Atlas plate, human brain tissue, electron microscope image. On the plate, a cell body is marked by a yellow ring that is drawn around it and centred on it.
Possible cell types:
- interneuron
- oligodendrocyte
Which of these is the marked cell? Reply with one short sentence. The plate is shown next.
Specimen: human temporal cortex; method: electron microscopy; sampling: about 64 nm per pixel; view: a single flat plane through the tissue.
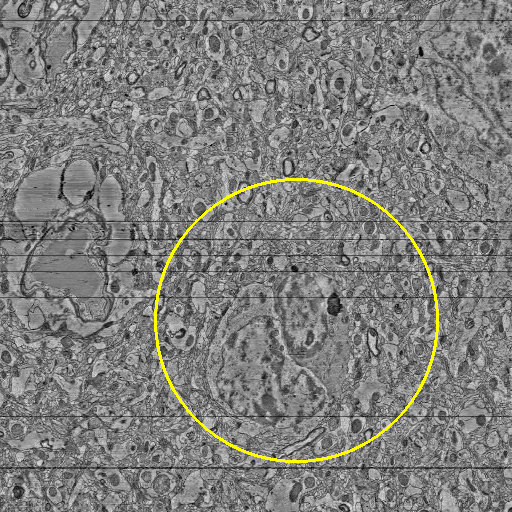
The marked cell is an oligodendrocyte.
